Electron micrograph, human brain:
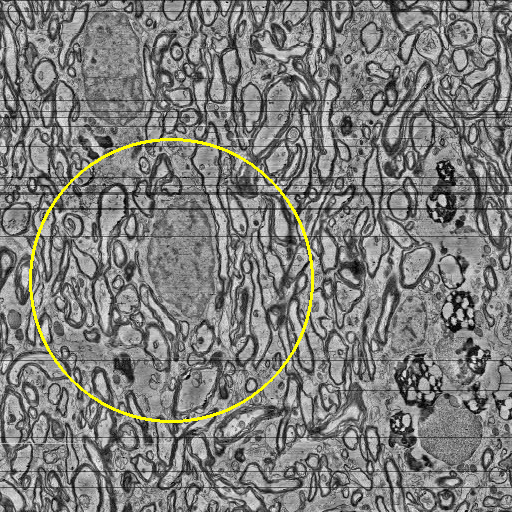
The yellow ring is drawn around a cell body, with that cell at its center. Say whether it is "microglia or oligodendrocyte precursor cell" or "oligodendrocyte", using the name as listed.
oligodendrocyte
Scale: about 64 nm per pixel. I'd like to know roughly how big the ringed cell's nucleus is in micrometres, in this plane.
In this plane, approximately 8 by 5 micrometers.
